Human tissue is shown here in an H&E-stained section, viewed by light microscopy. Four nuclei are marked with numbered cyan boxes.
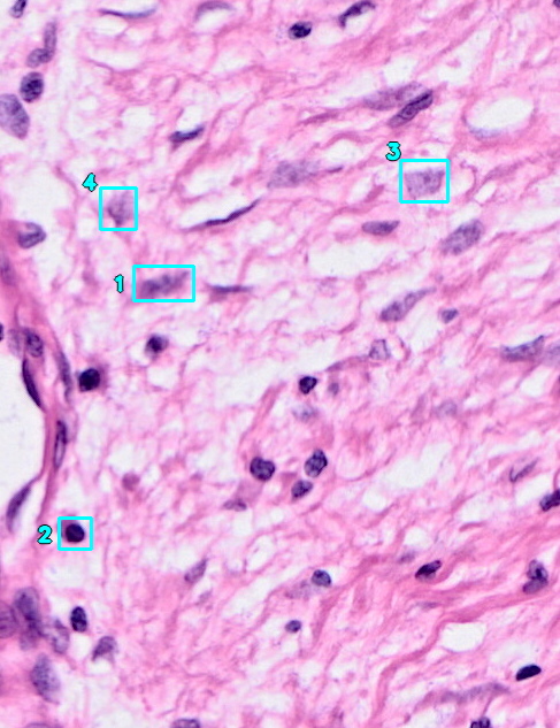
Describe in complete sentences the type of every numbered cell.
Cells 1, 3 and 4 are fibroblasts or myofibroblasts. Cell 2 is a plasma cell.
